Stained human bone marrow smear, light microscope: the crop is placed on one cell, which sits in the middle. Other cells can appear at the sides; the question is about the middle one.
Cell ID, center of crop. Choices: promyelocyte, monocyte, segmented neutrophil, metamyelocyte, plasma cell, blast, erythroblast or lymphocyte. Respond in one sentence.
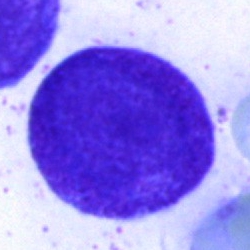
Looking at the middle of the crop, the cell there is a promyelocyte.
